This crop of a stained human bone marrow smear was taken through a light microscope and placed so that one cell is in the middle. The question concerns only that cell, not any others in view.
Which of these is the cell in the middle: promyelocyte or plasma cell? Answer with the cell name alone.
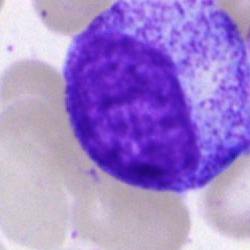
promyelocyte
